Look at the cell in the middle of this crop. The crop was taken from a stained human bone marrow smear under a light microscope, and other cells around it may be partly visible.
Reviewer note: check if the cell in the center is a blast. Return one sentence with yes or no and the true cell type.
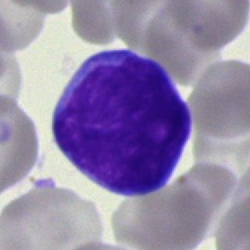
Yes, the cell in the middle of the crop is a blast.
